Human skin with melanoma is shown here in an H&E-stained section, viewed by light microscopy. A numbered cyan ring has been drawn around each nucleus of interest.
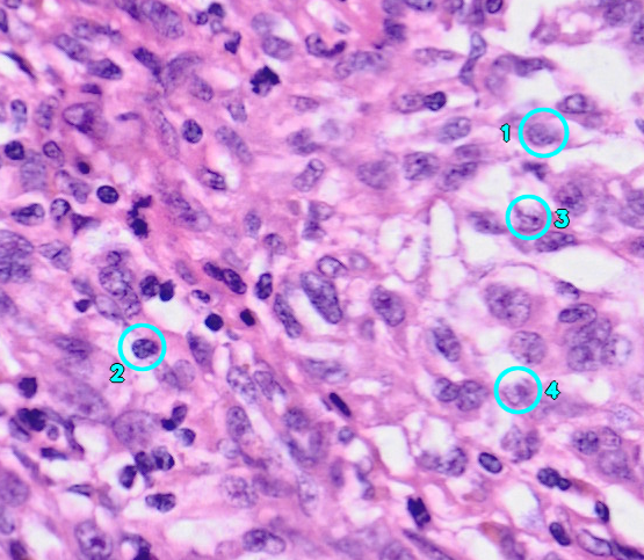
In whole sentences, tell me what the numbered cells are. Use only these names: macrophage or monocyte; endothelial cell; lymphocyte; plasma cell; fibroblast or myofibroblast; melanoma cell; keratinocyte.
Cells 1, 3 and 4 are melanoma cells. Cell 2 is a lymphocyte.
